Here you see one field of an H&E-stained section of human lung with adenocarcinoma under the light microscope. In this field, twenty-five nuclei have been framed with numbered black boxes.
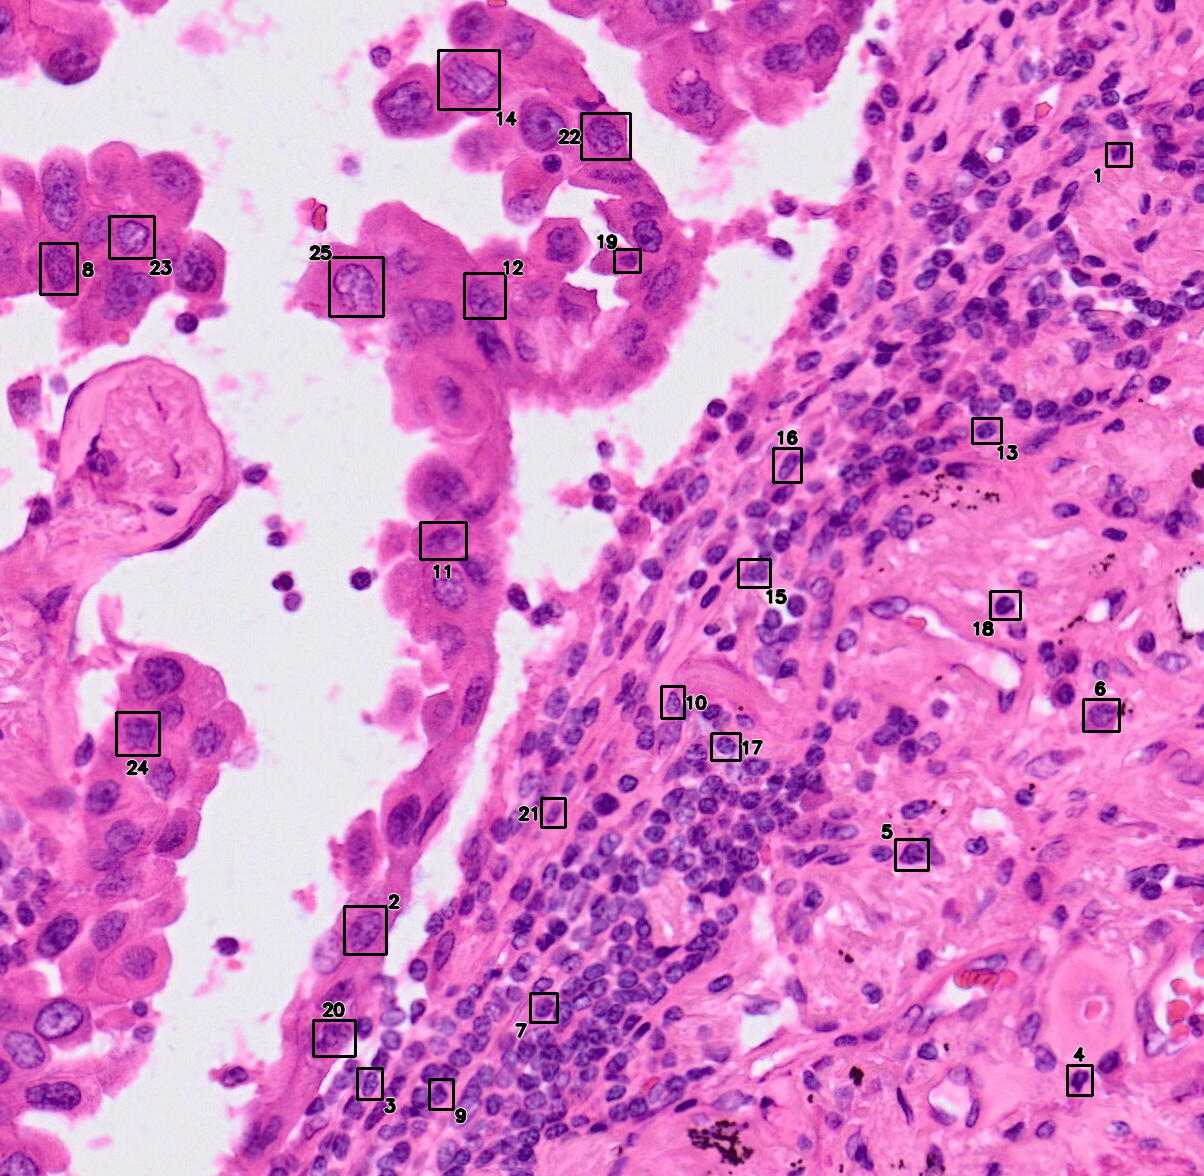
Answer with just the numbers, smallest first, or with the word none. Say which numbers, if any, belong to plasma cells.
4, 6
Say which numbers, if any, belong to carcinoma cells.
2, 8, 11, 12, 14, 19, 20, 22, 23, 24, 25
